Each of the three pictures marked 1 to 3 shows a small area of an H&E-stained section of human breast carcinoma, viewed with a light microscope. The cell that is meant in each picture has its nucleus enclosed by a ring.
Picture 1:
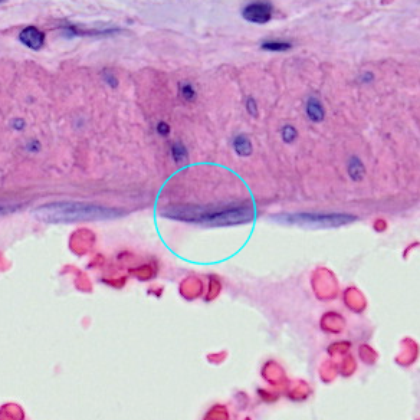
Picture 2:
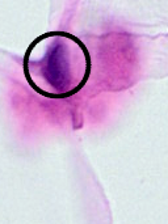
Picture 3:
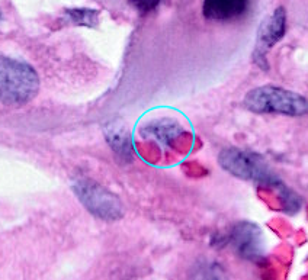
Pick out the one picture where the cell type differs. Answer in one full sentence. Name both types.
Picture 2 differs, because its cell is a fibroblast and the rest are endothelial cells.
